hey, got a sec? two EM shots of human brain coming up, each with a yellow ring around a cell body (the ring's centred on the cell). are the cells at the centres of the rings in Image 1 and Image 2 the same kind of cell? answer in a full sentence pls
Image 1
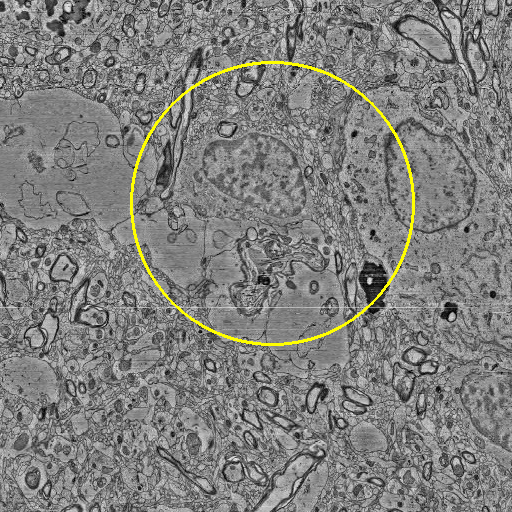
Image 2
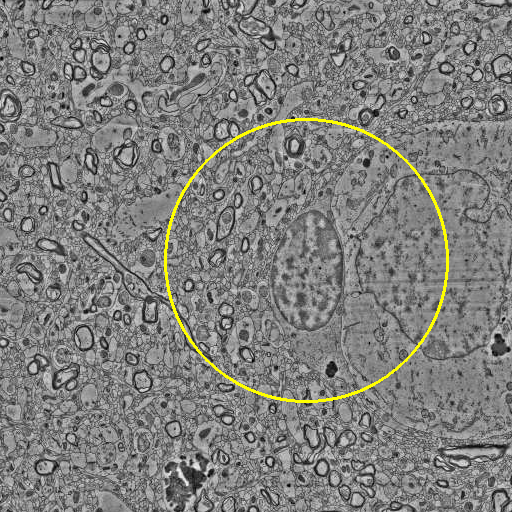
Yes, both are the same kind of cell.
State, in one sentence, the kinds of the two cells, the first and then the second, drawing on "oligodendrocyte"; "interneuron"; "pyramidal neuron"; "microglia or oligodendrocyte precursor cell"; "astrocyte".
Both cells are the same kind, each one being an oligodendrocyte.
